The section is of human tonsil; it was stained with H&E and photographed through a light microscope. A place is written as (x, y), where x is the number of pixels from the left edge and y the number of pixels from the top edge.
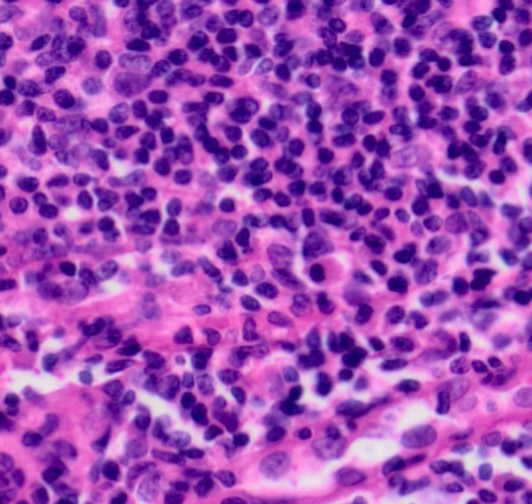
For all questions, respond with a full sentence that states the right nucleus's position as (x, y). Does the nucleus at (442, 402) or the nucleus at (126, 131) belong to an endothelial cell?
Identify the nucleus at (442, 402) as the one belonging to an endothelial cell.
